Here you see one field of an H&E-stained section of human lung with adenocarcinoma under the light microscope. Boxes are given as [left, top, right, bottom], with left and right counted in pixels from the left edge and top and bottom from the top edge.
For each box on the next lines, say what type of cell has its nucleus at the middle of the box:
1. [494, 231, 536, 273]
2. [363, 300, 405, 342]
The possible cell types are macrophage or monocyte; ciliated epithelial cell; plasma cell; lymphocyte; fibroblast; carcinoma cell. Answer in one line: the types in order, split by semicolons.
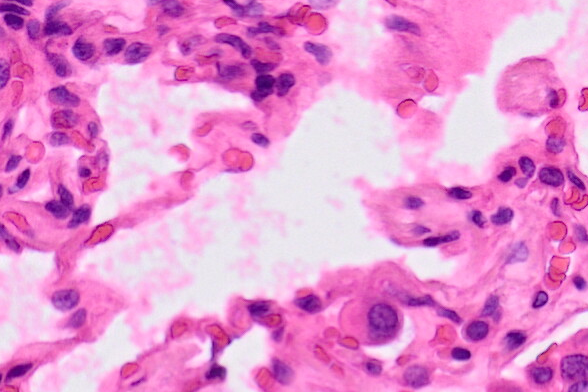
fibroblast; carcinoma cell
